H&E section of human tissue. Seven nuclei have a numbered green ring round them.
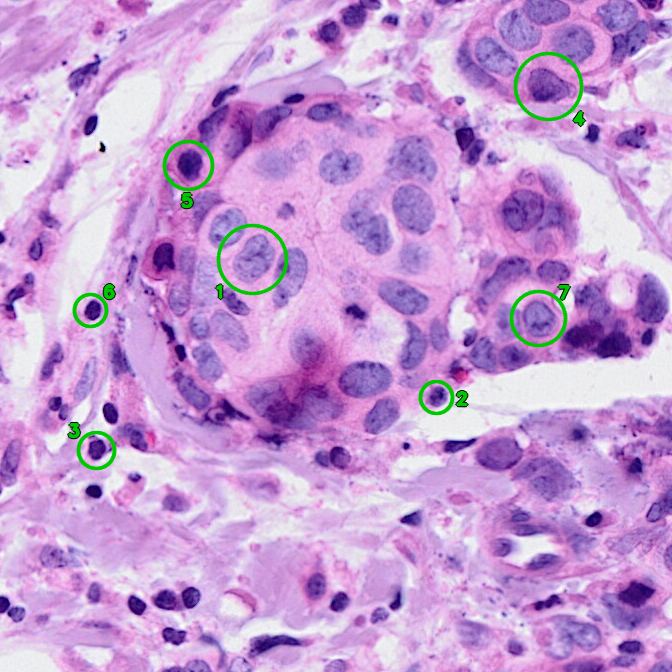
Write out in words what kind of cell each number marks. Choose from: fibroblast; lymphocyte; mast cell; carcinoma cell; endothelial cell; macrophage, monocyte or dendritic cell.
Cell 1 is a carcinoma cell, cell 2 is a lymphocyte, cell 3 is a lymphocyte, cell 4 is a carcinoma cell, cell 5 is a carcinoma cell, cell 6 is a lymphocyte and cell 7 is a carcinoma cell.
